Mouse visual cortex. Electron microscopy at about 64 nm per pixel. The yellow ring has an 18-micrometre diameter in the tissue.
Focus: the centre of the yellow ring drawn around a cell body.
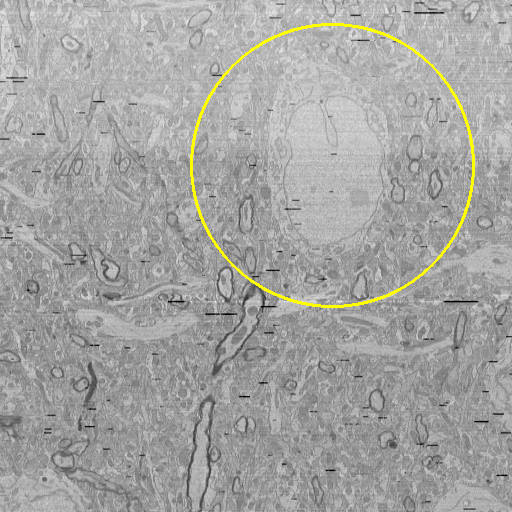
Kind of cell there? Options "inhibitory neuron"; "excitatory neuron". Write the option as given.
inhibitory neuron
